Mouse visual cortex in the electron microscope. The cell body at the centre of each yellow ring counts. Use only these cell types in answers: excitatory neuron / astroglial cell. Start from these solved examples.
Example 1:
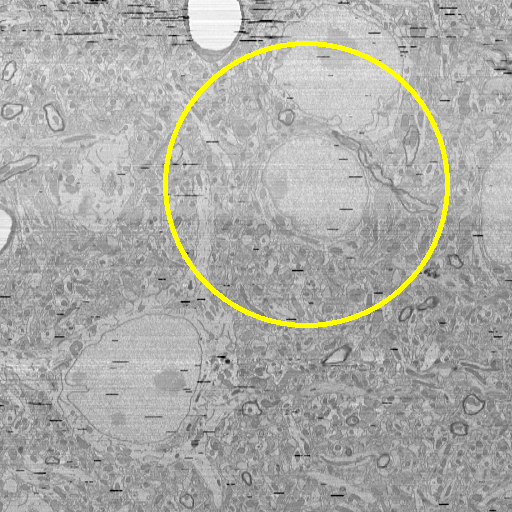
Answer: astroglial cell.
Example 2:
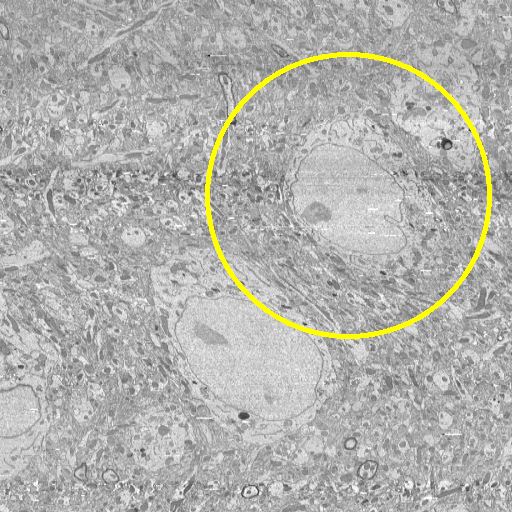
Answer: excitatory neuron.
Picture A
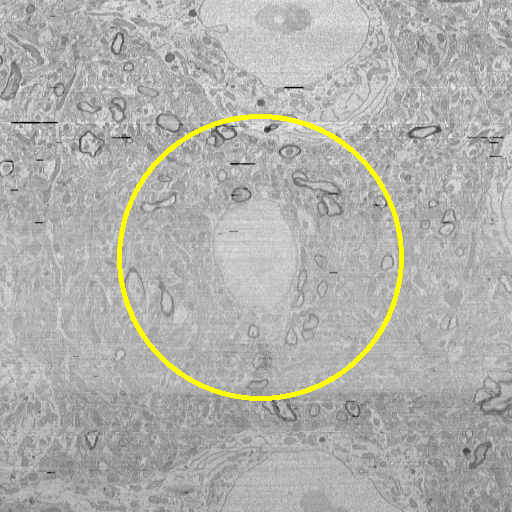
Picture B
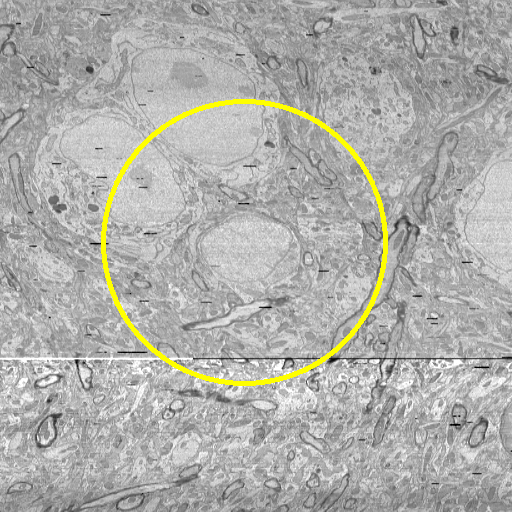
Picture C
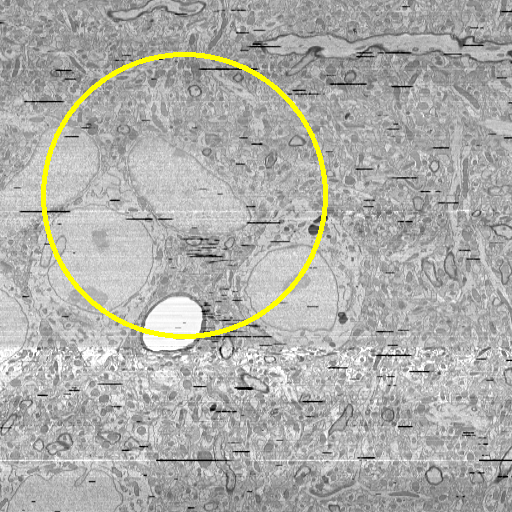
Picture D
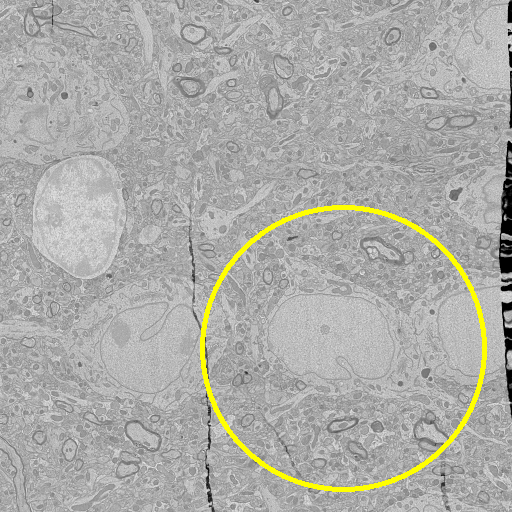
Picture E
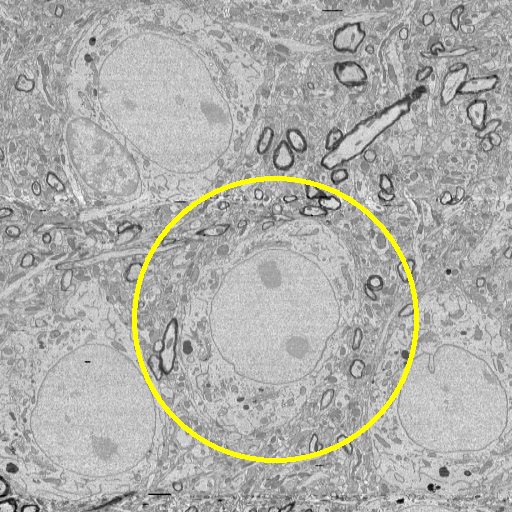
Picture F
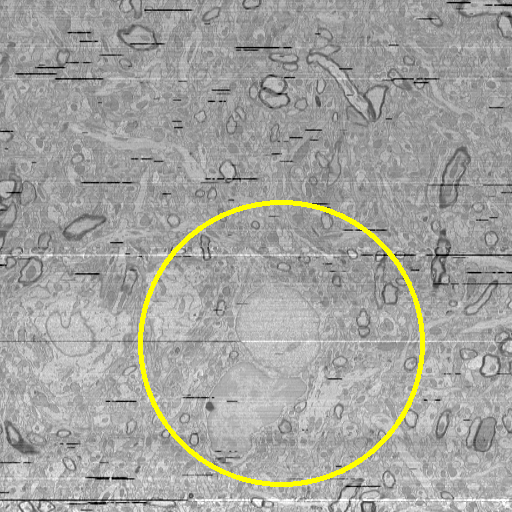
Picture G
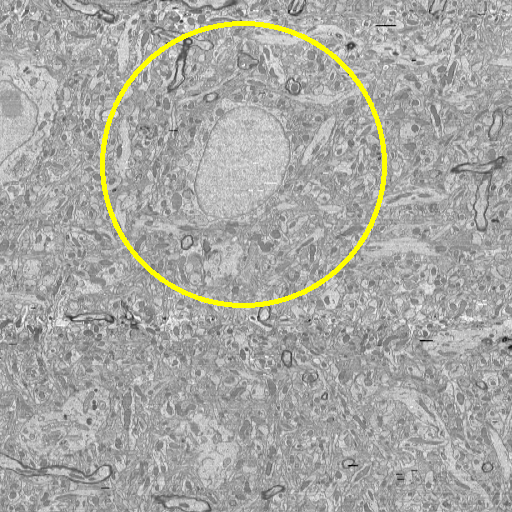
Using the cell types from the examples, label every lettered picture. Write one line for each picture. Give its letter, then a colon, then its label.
A: astroglial cell.
B: astroglial cell.
C: astroglial cell.
D: excitatory neuron.
E: excitatory neuron.
F: astroglial cell.
G: astroglial cell.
